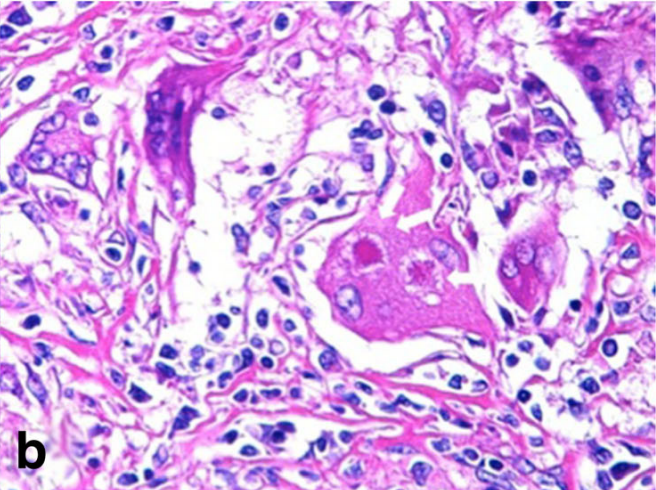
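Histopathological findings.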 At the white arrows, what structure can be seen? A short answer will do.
Asteroid bodies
